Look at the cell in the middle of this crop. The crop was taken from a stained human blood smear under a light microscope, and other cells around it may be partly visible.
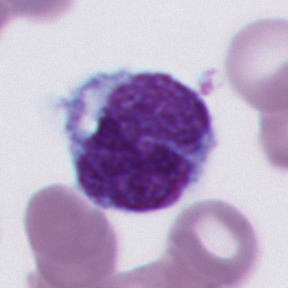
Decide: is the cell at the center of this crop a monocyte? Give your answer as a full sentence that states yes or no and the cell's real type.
Yes, the cell of interest in the centre is a monocyte.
